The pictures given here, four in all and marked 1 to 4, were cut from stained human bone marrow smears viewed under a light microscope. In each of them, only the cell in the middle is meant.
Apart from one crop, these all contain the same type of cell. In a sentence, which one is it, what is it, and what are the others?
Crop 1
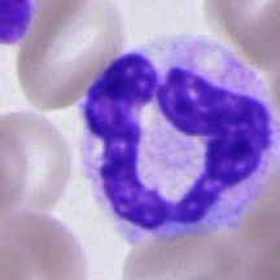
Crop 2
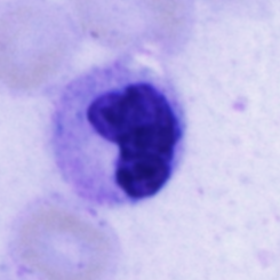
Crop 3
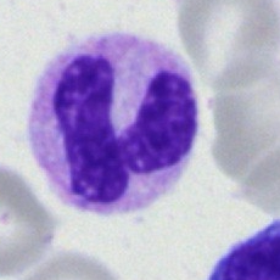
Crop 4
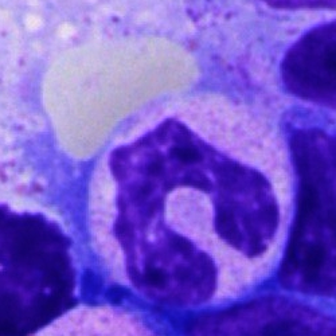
Crop 1 is a segmented neutrophil, and the other crops all show band neutrophils.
